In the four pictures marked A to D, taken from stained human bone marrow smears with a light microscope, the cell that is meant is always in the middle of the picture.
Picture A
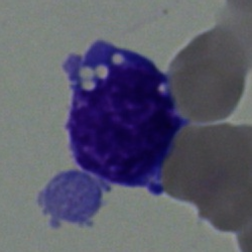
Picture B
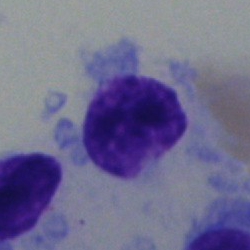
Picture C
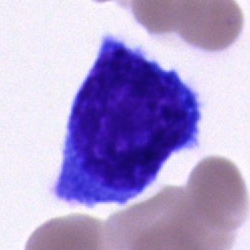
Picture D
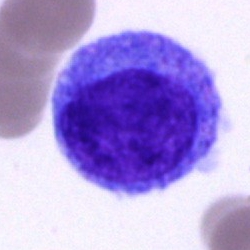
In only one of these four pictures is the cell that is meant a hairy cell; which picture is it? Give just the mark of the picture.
B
